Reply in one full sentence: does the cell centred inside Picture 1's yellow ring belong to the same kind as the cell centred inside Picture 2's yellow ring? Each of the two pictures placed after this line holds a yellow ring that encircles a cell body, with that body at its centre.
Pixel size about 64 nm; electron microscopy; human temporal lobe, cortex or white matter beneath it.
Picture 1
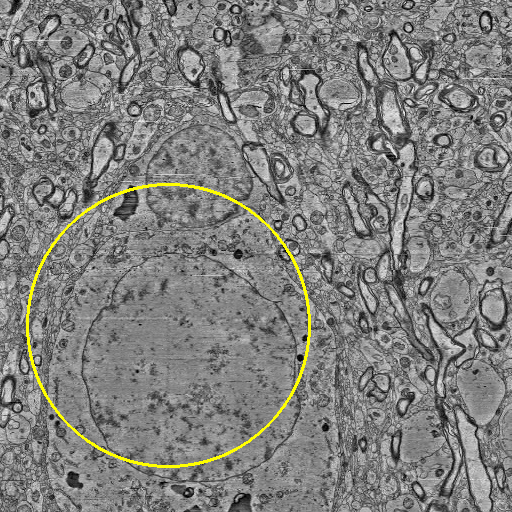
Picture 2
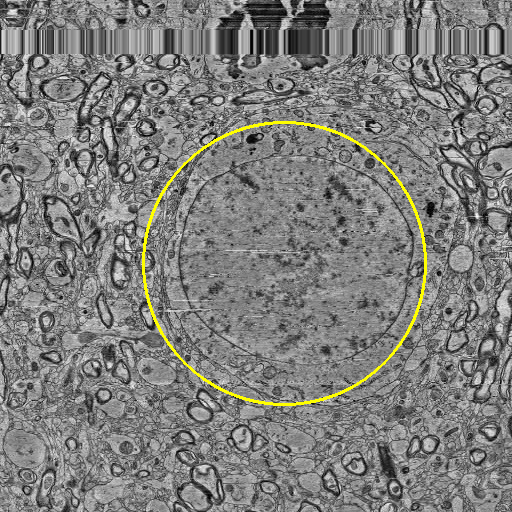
Yes, the ring-centred cells in Picture 1 and Picture 2 are of one and the same kind.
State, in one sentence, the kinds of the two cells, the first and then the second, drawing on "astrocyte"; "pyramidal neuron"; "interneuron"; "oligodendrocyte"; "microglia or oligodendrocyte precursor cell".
The second cell is a pyramidal neuron, just as the first is.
